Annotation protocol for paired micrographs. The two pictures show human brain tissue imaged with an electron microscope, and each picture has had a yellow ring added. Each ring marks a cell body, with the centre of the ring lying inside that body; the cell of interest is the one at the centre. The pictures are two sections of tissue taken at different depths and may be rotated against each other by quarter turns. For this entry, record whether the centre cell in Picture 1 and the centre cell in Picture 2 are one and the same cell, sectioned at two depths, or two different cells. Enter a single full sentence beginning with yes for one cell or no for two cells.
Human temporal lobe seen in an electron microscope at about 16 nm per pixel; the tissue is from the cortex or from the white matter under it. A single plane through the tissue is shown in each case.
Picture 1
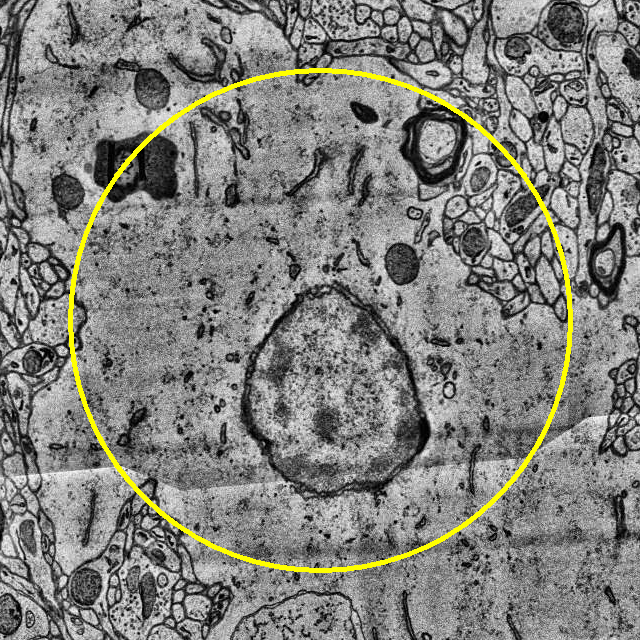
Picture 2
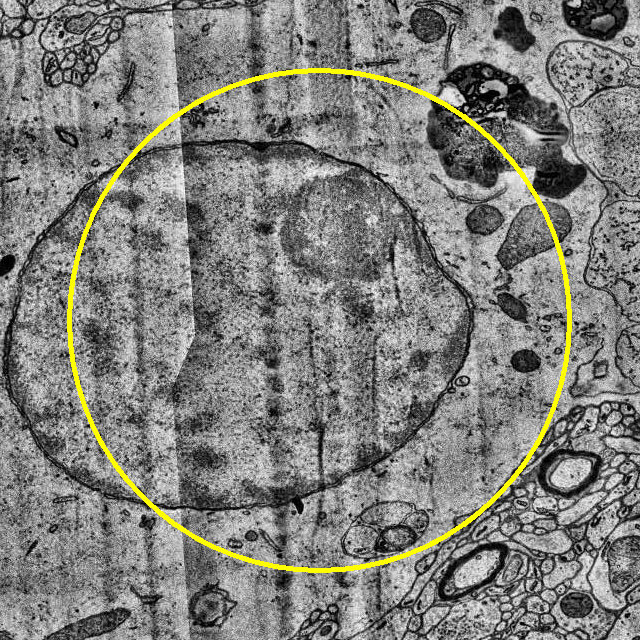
Yes, the two marked outlines come from one and the same cell.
